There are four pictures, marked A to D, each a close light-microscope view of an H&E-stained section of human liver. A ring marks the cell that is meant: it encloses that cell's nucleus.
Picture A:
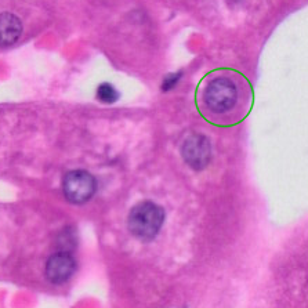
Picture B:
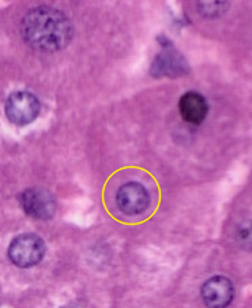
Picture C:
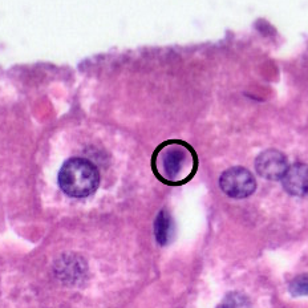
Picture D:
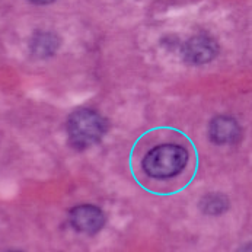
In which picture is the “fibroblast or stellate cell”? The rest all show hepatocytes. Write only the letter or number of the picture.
C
